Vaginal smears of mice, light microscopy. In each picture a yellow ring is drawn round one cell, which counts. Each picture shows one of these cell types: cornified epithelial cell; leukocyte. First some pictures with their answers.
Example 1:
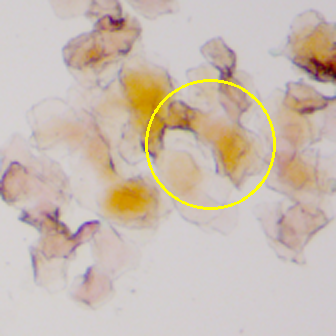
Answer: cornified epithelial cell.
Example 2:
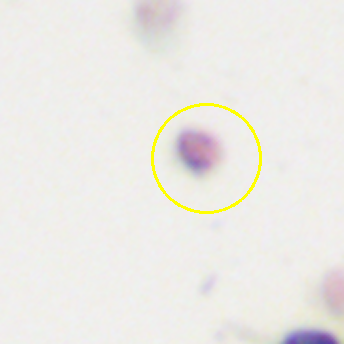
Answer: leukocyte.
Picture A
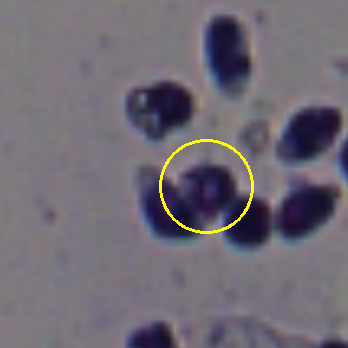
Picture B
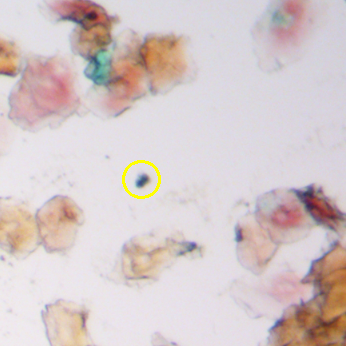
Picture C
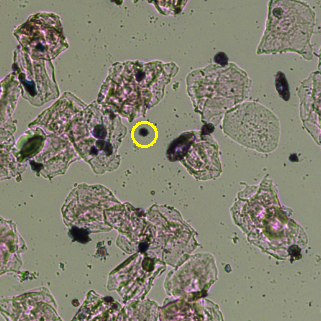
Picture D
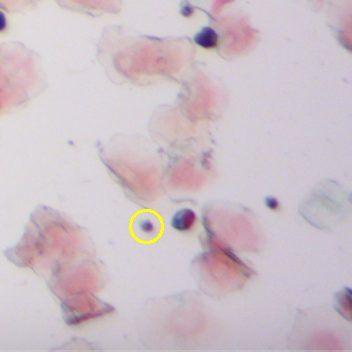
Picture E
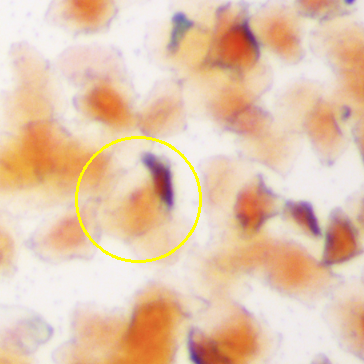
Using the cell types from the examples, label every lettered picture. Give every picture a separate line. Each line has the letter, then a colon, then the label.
A: leukocyte.
B: leukocyte.
C: leukocyte.
D: leukocyte.
E: cornified epithelial cell.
